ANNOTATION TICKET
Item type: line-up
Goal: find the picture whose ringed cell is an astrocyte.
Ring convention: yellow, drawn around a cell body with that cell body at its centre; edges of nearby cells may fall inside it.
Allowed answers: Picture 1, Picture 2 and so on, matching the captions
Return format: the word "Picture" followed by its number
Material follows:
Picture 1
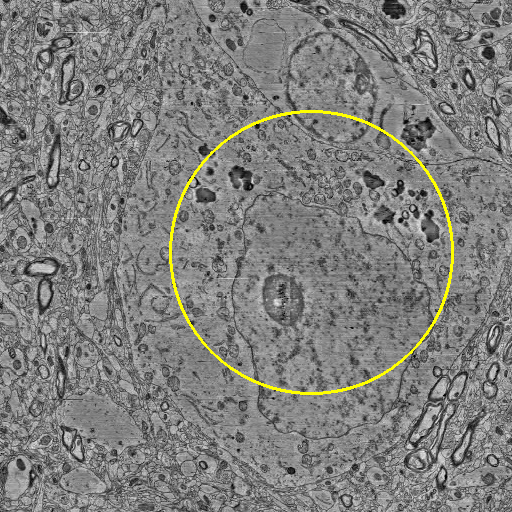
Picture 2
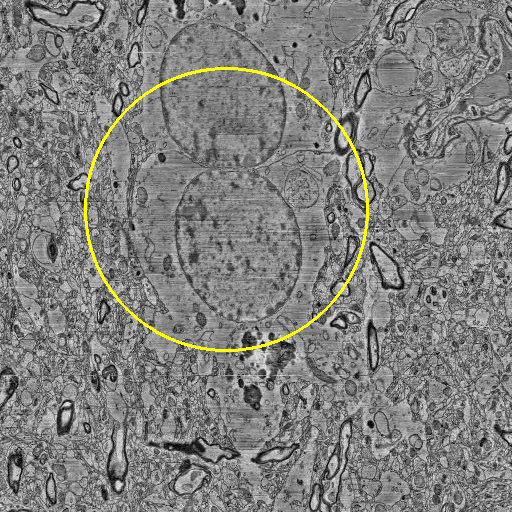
Picture 2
